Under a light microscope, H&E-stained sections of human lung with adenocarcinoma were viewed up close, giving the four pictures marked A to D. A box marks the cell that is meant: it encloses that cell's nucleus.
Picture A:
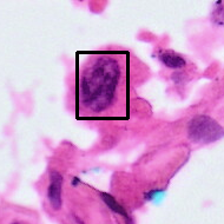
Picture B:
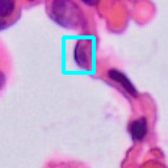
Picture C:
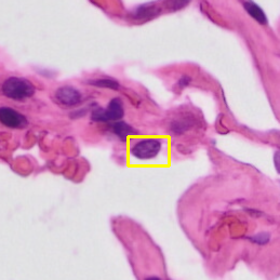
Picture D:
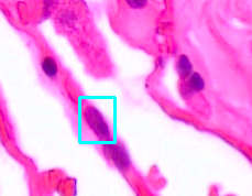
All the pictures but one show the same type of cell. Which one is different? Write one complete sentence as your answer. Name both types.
The different one is picture A; it shows a carcinoma cell, whereas all the others show type I pneumocytes.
